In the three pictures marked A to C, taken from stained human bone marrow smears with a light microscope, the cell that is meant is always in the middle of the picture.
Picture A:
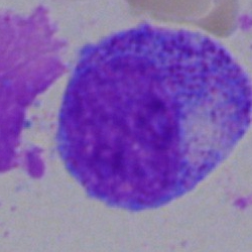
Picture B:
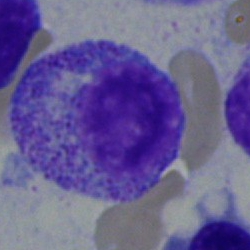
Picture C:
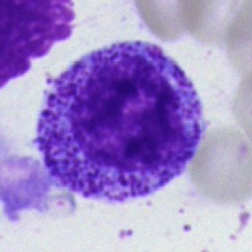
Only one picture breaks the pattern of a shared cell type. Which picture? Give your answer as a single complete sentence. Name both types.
The others show myelocytes, but picture A shows a promyelocyte.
